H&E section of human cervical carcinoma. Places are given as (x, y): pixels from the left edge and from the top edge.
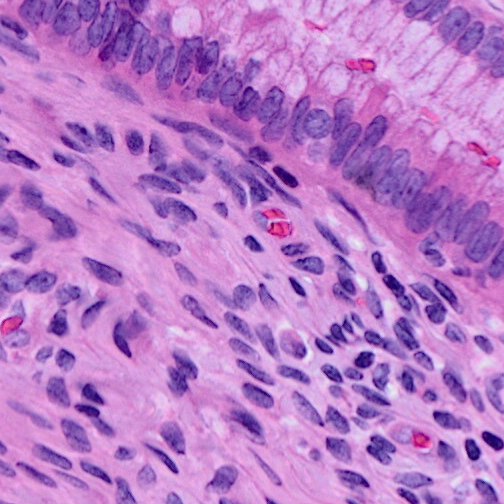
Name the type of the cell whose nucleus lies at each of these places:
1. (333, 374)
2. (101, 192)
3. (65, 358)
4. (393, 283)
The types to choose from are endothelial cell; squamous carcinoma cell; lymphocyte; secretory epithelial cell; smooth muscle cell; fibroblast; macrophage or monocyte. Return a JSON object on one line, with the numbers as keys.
{"1": "fibroblast", "2": "fibroblast", "3": "fibroblast", "4": "lymphocyte"}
